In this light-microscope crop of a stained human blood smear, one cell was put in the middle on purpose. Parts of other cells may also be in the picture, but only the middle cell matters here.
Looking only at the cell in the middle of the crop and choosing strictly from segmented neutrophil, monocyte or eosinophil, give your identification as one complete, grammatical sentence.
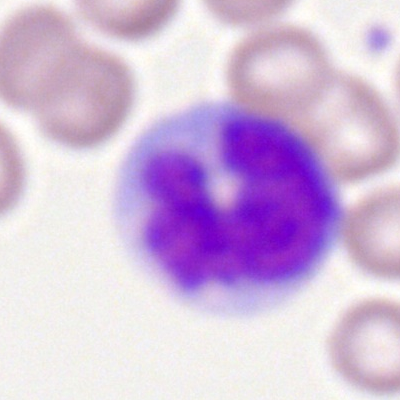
Here the cell in the middle is a monocyte.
